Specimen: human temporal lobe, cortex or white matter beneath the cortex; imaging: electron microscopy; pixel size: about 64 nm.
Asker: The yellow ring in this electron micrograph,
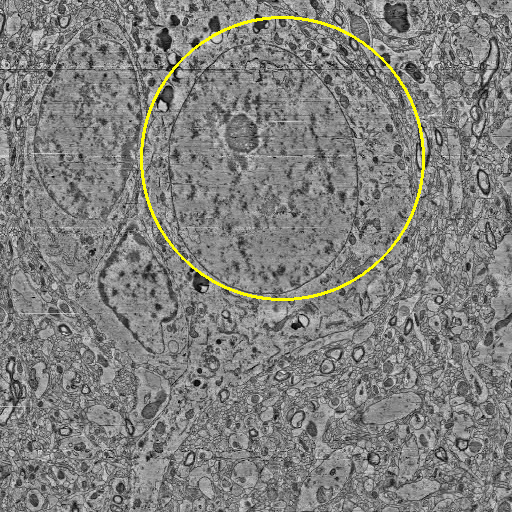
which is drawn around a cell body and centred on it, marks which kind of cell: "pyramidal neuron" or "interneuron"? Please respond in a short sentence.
The marked cell is a pyramidal neuron.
